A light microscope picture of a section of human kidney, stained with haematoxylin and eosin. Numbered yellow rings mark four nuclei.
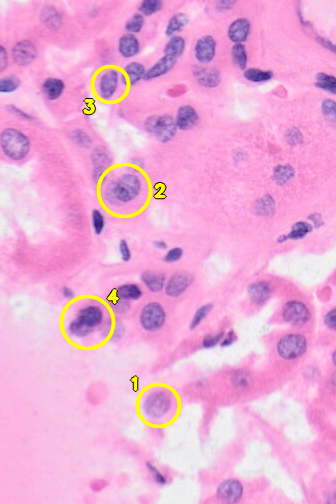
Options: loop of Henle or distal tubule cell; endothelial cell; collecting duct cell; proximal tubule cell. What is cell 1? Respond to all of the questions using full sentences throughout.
The label 1 in this section denotes a proximal tubule cell.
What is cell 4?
The cell to which the number 4 is assigned is a collecting duct cell.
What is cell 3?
The marked cell with the number 3 is recognised as a collecting duct cell.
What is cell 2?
The cell marked with the number 2 is a collecting duct cell.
